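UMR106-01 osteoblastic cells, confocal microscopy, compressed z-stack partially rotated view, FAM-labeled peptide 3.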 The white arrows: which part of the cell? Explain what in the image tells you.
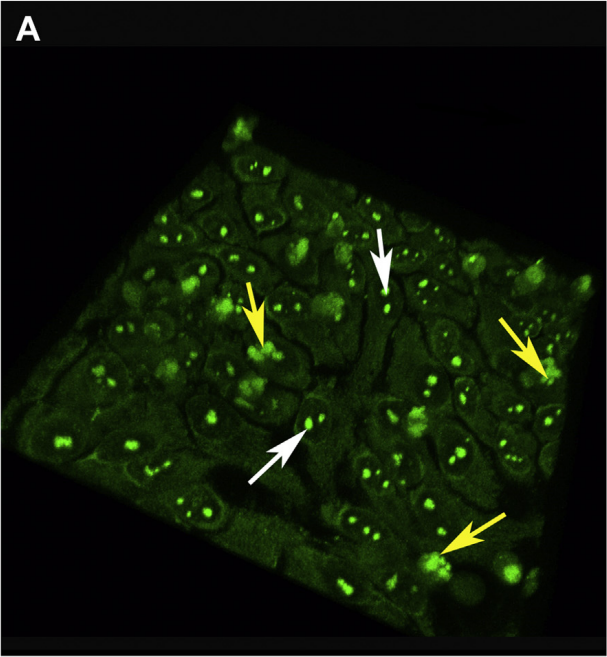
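Nucleoli. The white arrows point to small bright dots inside oval nuclei. Most nuclei in the sheet contain one to several such dots.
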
